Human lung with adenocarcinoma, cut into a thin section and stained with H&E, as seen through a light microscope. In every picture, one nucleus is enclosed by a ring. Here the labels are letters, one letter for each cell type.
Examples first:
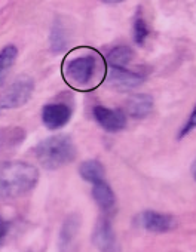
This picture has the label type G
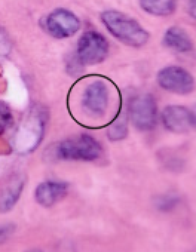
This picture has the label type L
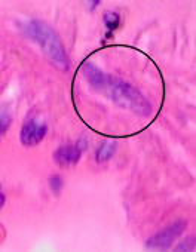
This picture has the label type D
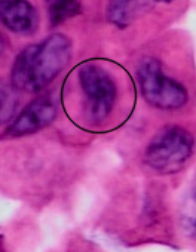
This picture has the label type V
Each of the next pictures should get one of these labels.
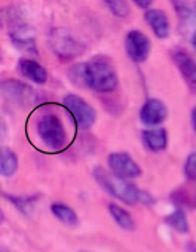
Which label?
type G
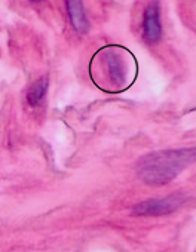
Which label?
type D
